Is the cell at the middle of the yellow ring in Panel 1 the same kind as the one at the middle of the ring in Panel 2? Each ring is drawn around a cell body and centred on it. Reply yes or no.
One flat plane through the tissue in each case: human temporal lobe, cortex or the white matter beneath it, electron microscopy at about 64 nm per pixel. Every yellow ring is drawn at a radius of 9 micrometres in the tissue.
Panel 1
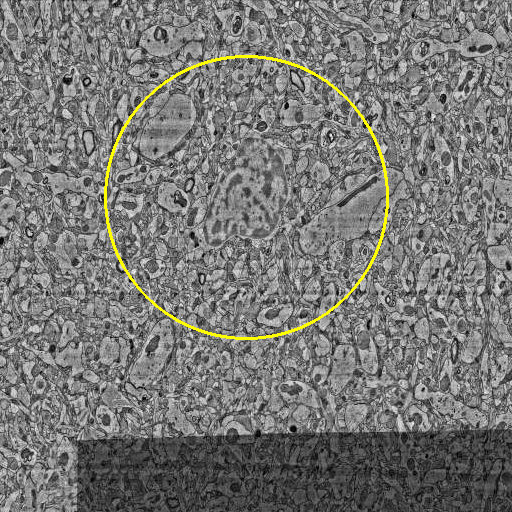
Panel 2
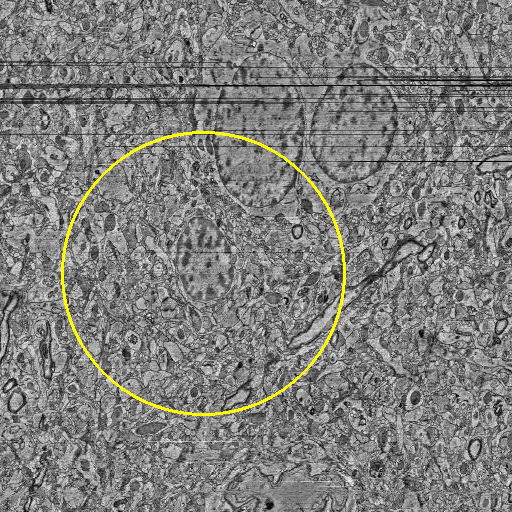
yes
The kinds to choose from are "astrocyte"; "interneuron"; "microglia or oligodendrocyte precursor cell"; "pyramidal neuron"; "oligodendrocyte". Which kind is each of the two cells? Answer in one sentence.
In each of the two pictures, the ringed cell is a microglial cell or oligodendrocyte precursor cell.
